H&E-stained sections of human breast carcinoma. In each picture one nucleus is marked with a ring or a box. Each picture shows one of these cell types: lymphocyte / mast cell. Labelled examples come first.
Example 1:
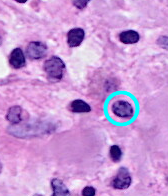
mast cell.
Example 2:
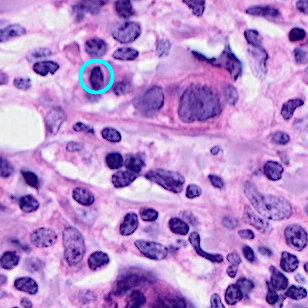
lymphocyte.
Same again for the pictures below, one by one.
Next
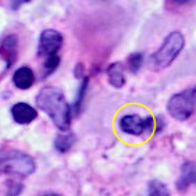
lymphocyte.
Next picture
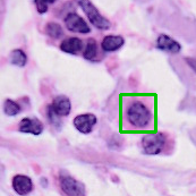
mast cell.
